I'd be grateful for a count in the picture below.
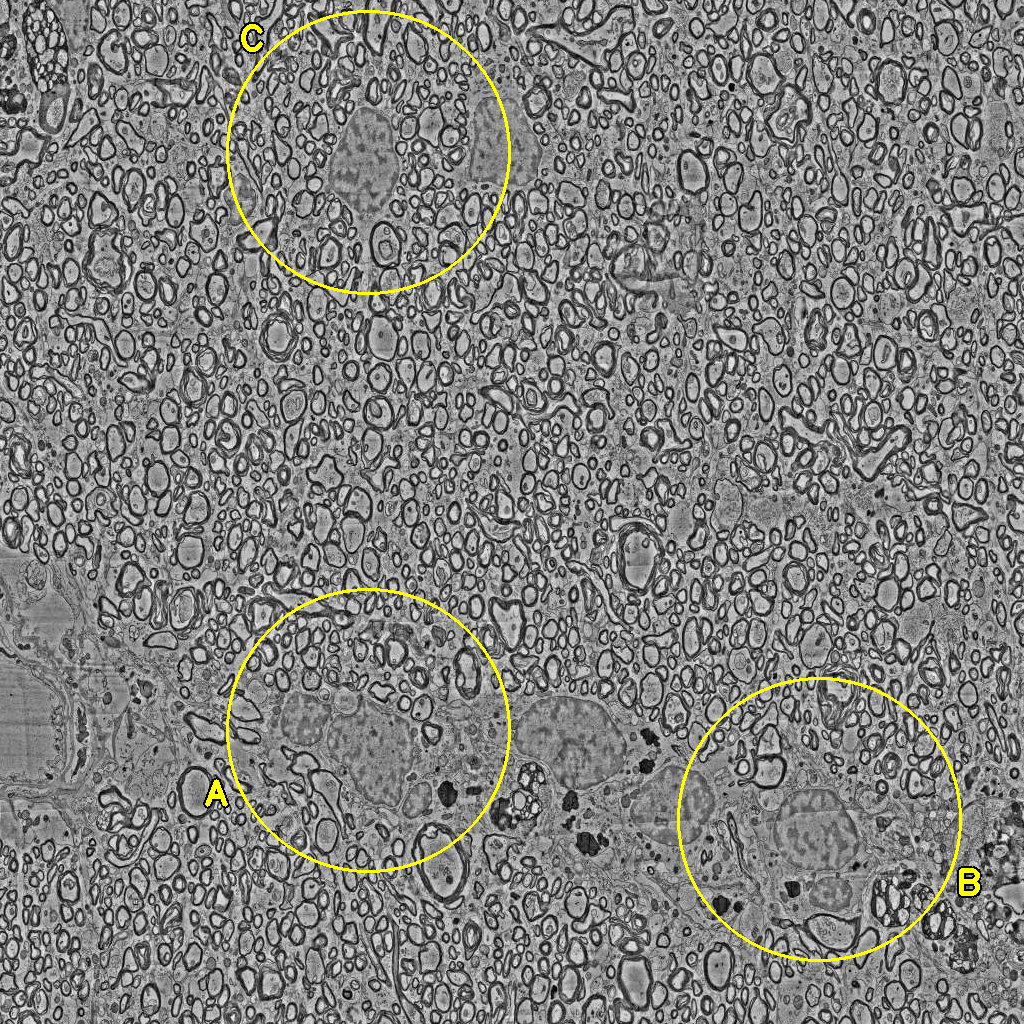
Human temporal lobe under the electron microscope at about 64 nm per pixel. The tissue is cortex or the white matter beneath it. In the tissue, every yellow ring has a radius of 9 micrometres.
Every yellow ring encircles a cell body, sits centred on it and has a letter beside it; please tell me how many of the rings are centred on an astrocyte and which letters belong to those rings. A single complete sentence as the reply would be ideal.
Zero is the count here, since none of the rings sits centred on an astrocyte.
